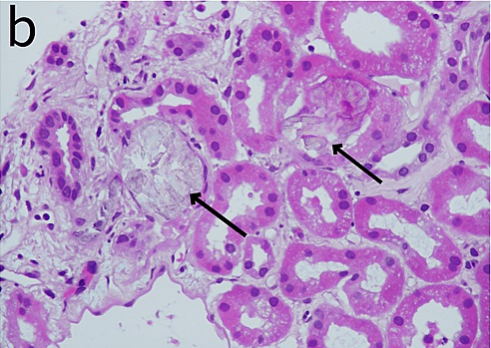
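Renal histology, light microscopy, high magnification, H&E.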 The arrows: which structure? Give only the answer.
Intraluminal translucent crystals.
